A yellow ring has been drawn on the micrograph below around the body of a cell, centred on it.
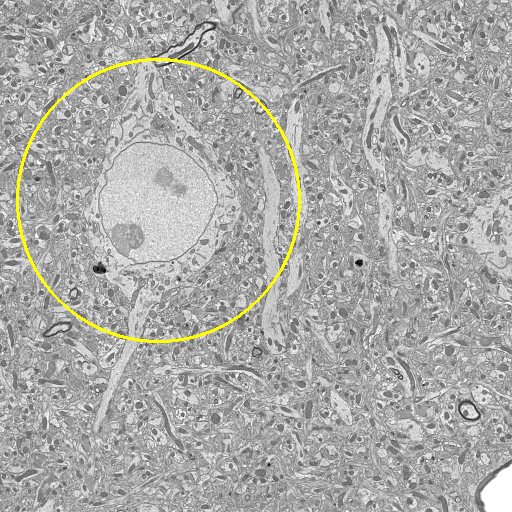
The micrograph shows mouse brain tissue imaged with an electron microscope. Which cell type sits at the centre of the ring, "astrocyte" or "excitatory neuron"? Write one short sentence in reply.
The cell sitting at the centre of the ring is an excitatory neuron.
